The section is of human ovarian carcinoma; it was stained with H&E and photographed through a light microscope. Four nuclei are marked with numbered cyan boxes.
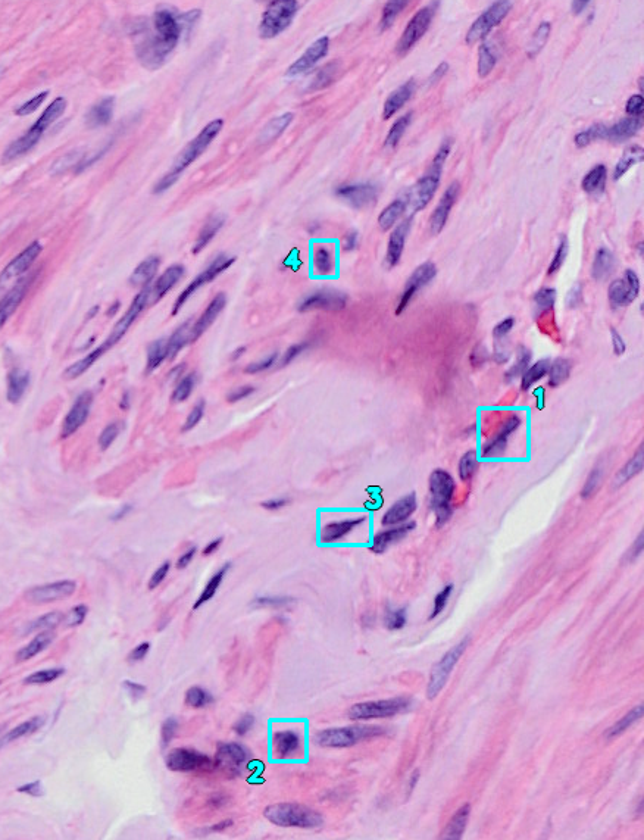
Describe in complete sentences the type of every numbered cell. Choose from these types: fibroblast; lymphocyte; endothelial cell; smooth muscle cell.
Cell 1 is an endothelial cell. Cells 2 and 4 are smooth muscle cells. Cell 3 is a fibroblast.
